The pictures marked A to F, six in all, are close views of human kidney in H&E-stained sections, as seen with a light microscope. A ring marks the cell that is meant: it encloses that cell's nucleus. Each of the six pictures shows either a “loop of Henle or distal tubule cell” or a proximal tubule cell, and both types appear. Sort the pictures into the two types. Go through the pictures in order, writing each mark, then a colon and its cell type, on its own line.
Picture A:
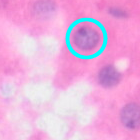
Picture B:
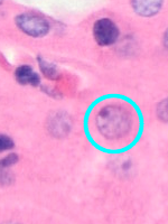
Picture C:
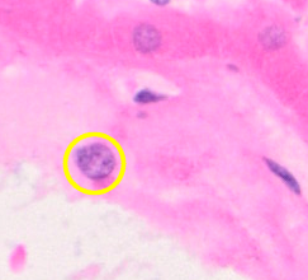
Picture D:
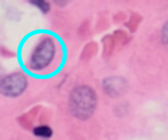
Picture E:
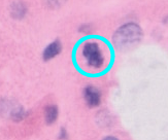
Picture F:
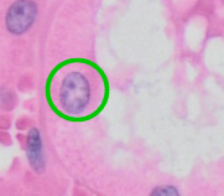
A: proximal tubule cell
B: proximal tubule cell
C: proximal tubule cell
D: loop of Henle or distal tubule cell
E: loop of Henle or distal tubule cell
F: proximal tubule cell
